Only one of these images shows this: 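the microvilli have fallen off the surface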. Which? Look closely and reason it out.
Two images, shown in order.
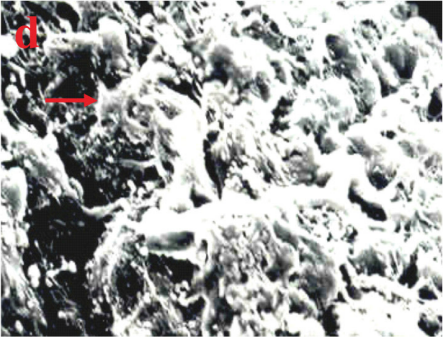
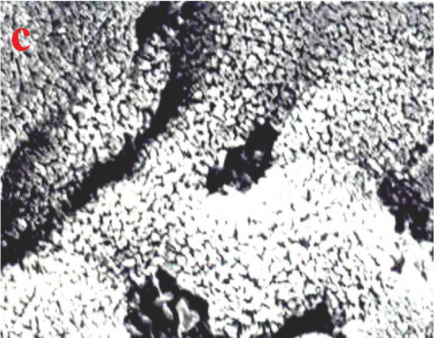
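First image: the surface is rough and irregular, with ragged clumps instead of a regular carpet of projections. Second image: the surface is evenly covered by densely packed small projections. So: the first image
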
